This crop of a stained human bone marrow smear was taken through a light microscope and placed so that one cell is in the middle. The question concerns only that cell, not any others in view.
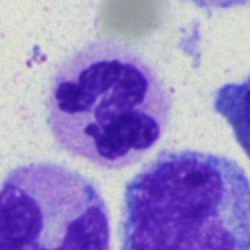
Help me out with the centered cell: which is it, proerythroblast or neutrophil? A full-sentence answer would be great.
This crop's central cell is a neutrophil.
